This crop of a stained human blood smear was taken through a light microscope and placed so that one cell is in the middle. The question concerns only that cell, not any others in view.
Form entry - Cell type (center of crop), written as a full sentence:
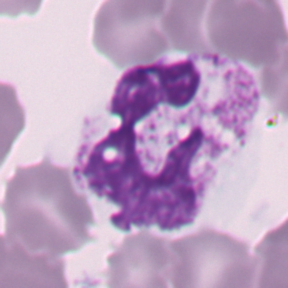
Standing at the centre of this crop is a neutrophil.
